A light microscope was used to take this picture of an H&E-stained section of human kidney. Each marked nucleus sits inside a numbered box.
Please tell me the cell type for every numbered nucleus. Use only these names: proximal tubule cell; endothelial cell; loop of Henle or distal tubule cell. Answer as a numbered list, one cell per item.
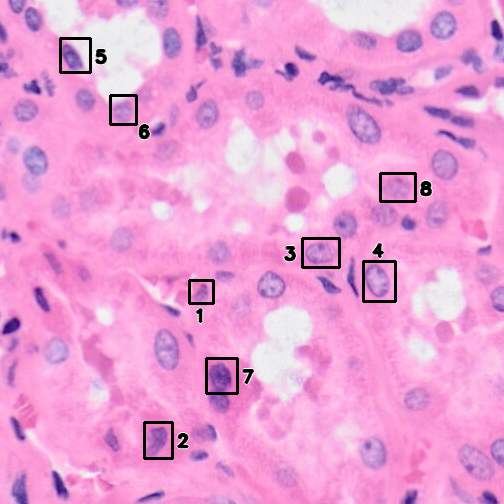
1. endothelial cell
2. proximal tubule cell
3. proximal tubule cell
4. proximal tubule cell
5. loop of Henle or distal tubule cell
6. loop of Henle or distal tubule cell
7. proximal tubule cell
8. proximal tubule cell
